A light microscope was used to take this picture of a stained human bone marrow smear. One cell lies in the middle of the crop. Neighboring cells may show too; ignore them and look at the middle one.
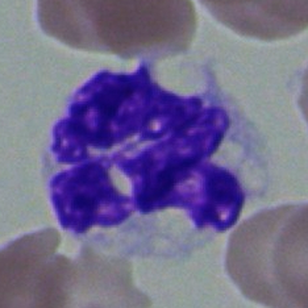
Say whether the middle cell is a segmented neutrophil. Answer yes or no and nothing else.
yes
